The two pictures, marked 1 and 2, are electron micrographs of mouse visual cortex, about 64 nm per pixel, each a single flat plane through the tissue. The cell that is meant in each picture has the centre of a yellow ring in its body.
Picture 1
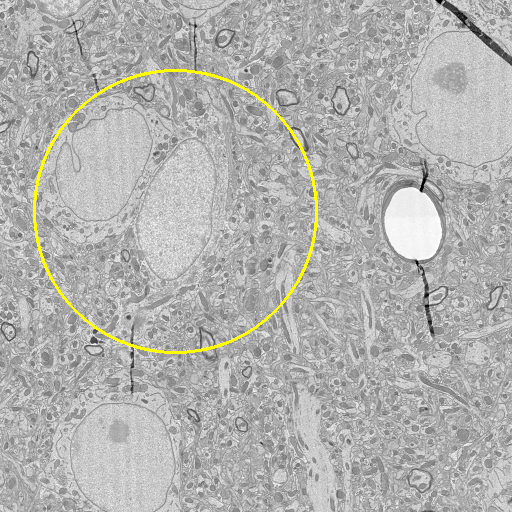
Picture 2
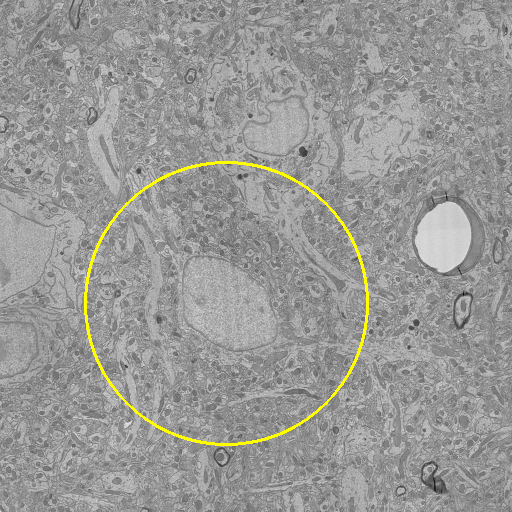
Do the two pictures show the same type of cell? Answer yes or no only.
yes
